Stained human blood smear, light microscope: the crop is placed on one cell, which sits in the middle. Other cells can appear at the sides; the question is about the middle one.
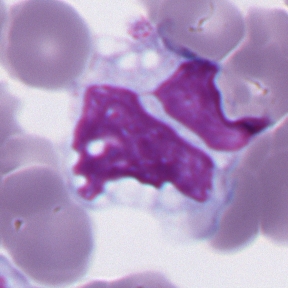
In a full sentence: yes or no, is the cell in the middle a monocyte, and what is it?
Yes, the cell occupying the middle of the crop is a monocyte.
